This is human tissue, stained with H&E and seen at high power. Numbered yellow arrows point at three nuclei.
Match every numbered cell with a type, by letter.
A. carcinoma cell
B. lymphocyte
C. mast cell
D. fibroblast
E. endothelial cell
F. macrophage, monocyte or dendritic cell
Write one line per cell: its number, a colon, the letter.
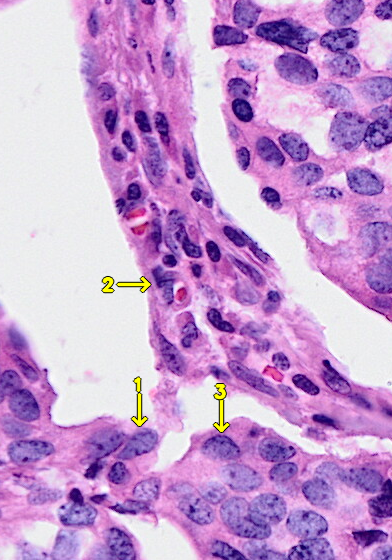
1: A
2: E
3: A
